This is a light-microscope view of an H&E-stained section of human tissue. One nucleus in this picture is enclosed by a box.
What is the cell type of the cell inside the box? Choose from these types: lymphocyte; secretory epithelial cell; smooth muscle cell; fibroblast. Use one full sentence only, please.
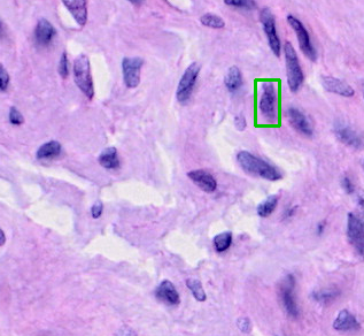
Students should answer that the cell inside the box is a fibroblast.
